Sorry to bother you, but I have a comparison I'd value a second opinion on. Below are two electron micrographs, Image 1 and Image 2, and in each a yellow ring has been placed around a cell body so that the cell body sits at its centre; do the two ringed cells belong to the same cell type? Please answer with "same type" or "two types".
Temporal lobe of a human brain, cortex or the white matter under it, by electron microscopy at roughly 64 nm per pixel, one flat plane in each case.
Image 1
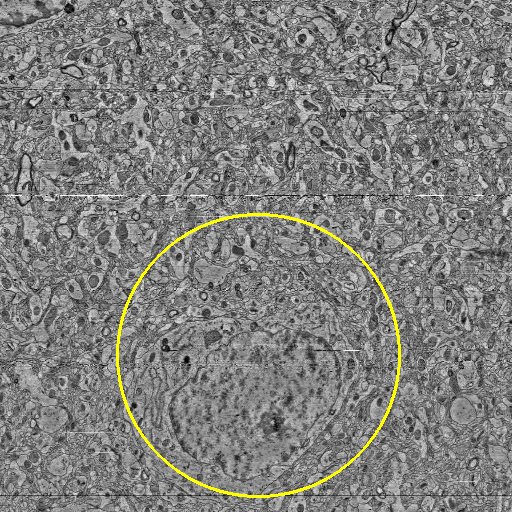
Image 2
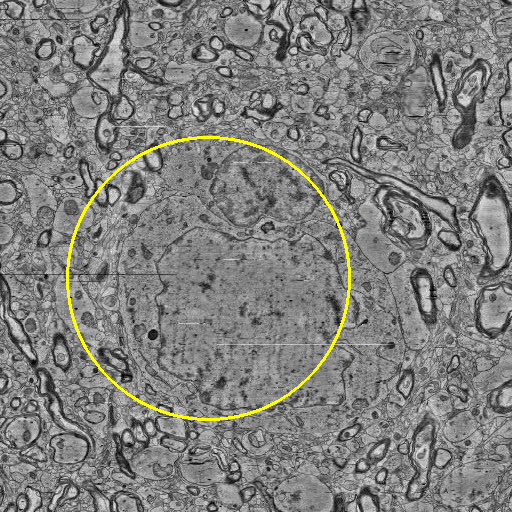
same type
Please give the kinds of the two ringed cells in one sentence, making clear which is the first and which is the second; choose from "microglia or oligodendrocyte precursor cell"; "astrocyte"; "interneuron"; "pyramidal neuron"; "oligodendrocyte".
In the first picture and in the second, the ring is centred on an interneuron.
